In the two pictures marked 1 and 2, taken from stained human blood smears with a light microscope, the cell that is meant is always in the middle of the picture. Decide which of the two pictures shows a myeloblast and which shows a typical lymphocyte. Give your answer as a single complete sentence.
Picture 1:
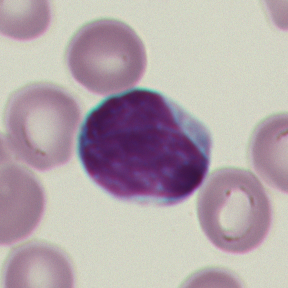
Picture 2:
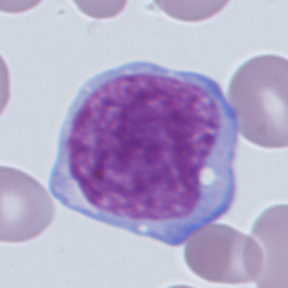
Picture 2 shows a myeloblast, while picture 1 shows a typical lymphocyte.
